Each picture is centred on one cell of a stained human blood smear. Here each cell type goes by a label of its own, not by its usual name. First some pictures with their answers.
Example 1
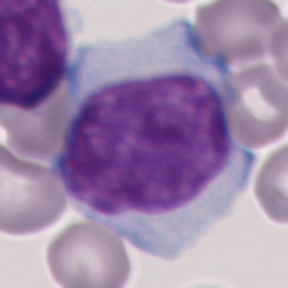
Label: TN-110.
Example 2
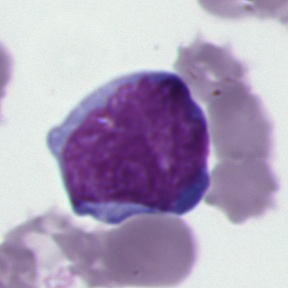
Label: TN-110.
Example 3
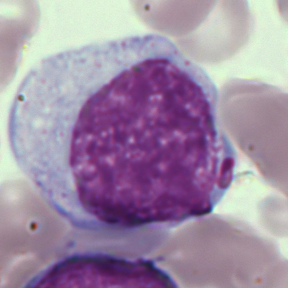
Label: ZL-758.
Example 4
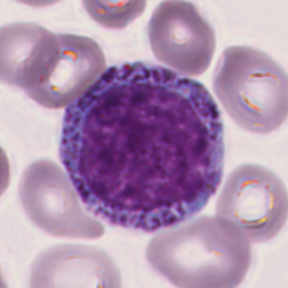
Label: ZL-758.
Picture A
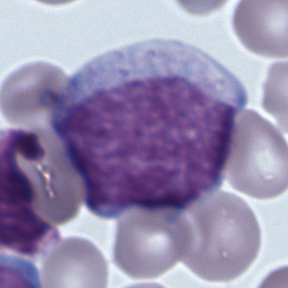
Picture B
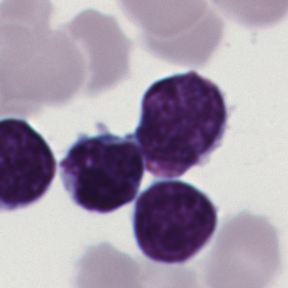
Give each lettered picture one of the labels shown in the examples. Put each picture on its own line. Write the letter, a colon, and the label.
A: ZL-758.
B: TN-110.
